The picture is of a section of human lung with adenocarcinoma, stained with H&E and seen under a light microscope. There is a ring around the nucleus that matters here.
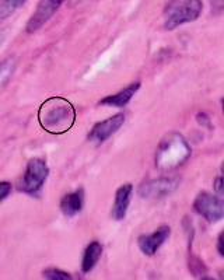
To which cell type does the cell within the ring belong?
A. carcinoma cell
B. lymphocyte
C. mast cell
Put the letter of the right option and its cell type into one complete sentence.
In this section the cell within the ring is a mast cell; option C is therefore correct.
